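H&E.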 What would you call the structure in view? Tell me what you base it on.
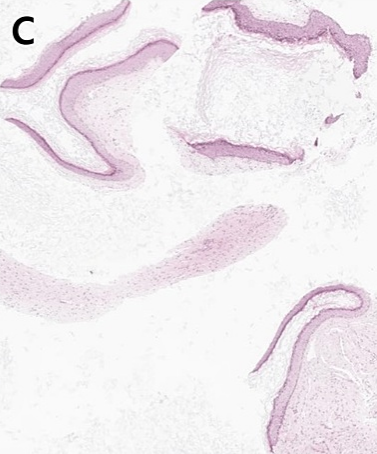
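Several separate cavities are bounded by thin, folded purple linings. The cavities are separated by pale loose tissue. On this evidence: multiple cysts.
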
